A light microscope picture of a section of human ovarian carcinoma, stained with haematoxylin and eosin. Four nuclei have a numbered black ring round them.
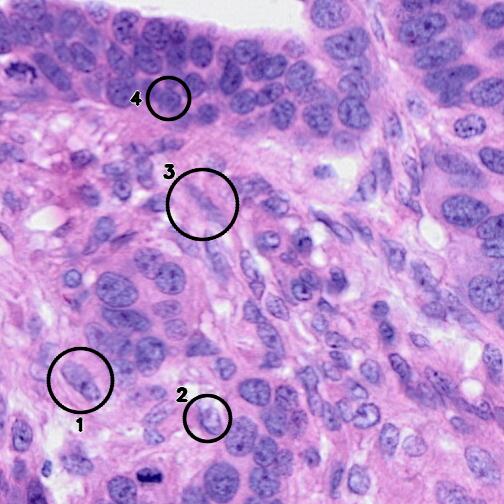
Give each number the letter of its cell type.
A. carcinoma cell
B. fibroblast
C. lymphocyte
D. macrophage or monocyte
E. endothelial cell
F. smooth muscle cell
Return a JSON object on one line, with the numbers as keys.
{"1": "B", "2": "B", "3": "B", "4": "A"}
